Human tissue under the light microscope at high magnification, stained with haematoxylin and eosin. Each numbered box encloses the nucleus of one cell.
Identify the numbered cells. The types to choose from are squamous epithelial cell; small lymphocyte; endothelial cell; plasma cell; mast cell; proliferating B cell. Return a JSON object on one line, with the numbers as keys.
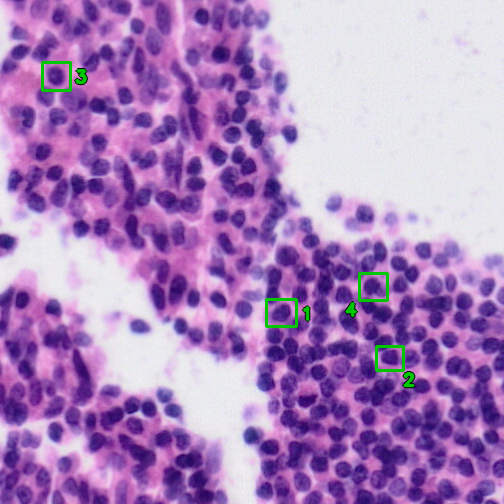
{"1": "small lymphocyte", "2": "small lymphocyte", "3": "plasma cell", "4": "small lymphocyte"}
